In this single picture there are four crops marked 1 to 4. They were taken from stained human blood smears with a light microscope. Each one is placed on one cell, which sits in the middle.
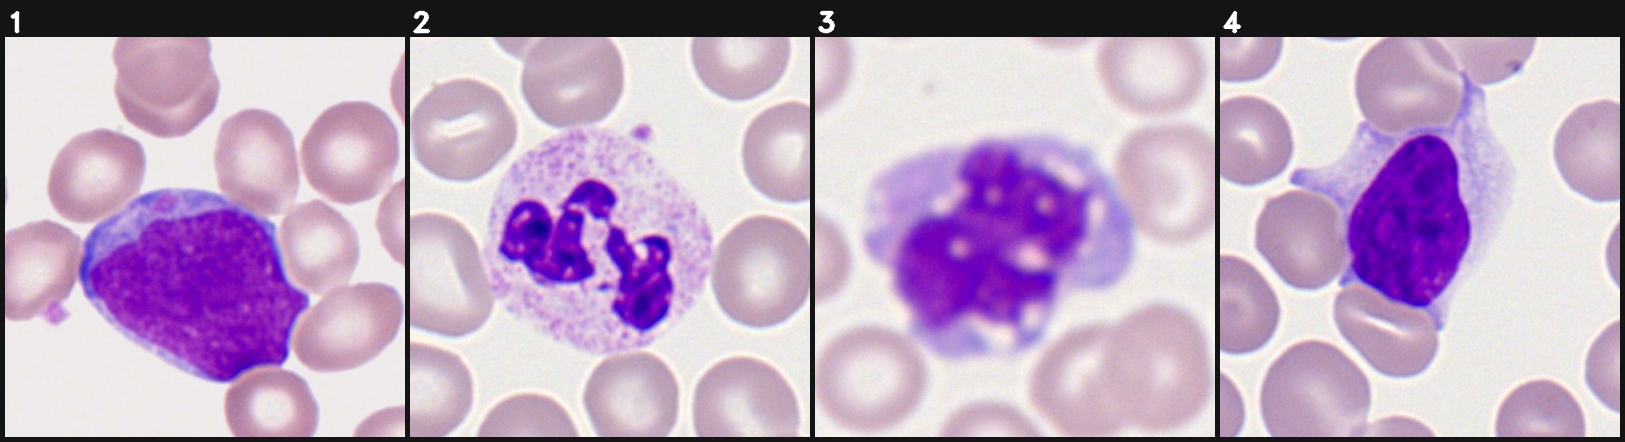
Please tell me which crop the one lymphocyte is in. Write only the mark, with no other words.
4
